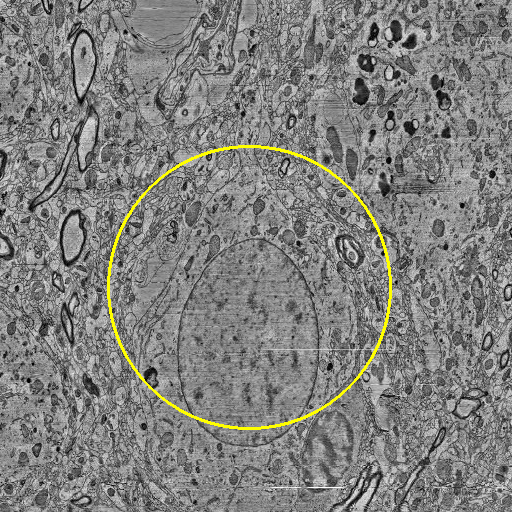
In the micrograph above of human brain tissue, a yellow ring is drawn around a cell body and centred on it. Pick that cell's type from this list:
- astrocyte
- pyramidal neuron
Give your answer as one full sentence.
Going by the list, a pyramidal neuron is the cell on which the yellow ring is centred.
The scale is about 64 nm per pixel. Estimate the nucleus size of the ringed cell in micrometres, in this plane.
About 14 by 9 micrometers, in this plane.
